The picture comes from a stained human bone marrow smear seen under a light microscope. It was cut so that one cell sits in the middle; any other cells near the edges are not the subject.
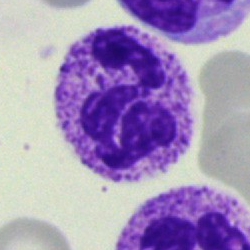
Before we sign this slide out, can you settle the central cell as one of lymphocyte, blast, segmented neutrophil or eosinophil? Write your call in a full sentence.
The centrally placed cell is classified as a segmented neutrophil.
